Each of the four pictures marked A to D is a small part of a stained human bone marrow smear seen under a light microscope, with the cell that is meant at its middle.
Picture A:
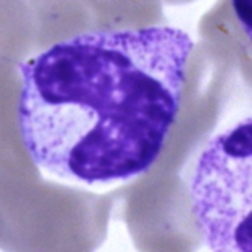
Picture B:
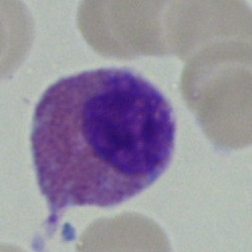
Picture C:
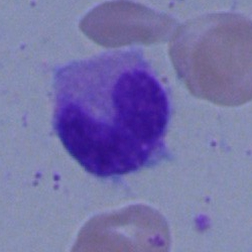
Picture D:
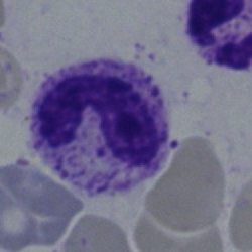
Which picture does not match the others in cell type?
B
